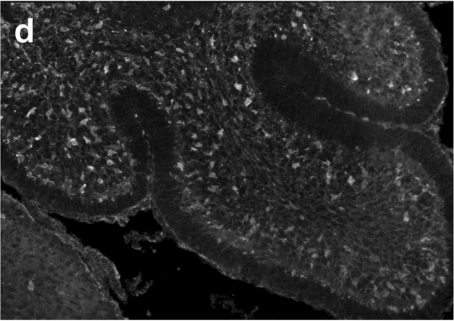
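A dim, densely cellular external granule cell layer covers each folium at the surface and contains no labelled cells. Labelled cells fill the tissue beneath up to this layer.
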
